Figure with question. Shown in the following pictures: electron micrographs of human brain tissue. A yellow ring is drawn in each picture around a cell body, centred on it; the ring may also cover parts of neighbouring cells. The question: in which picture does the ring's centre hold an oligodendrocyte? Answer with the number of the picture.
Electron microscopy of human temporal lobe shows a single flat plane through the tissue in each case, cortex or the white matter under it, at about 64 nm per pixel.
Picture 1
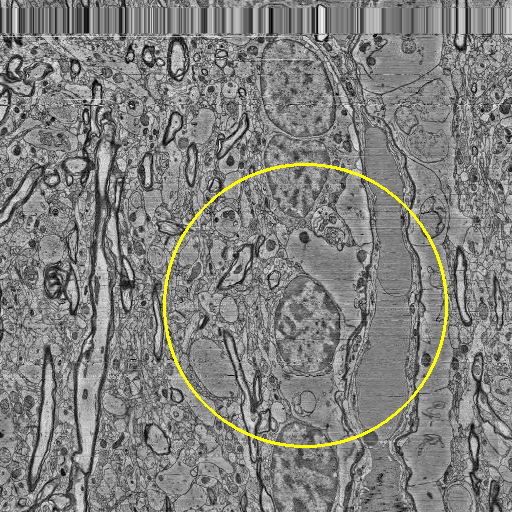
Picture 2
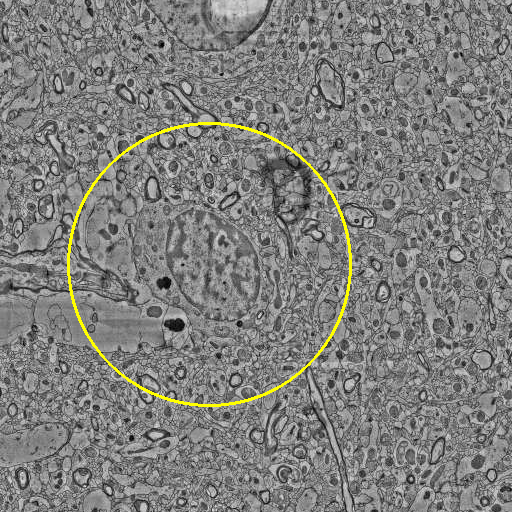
2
